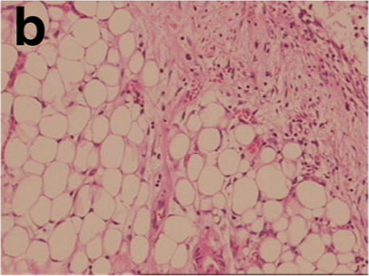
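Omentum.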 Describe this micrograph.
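On the left, large empty polygonal cells with thin walls and small flattened nuclei pressed to their edges form a sheet of fat. To the right they give way to pink, wavy fibrous connective tissue with many elongated and small round dark nuclei scattered through it. The picture is of adipose tissue bordered by increased fibrous tissue with infiltrating small round cells.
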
